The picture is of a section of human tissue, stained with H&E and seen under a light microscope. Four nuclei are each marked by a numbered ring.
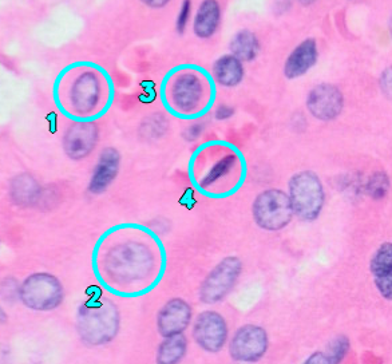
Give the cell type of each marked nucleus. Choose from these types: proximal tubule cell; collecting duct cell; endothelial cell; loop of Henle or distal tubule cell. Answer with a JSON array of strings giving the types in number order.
["proximal tubule cell", "proximal tubule cell", "loop of Henle or distal tubule cell", "endothelial cell"]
